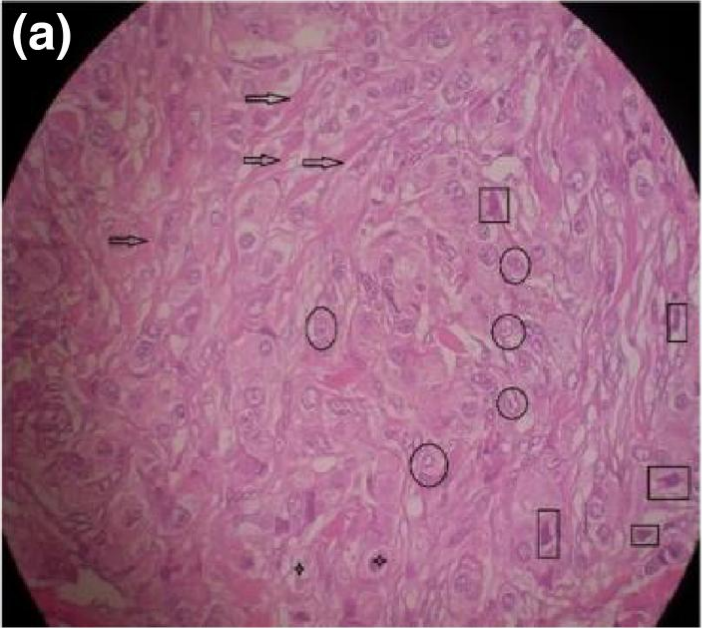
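This section shows a tumour made of large tumour cells set among bands of fibrous stroma, a desmoplastic reaction. The tumour cells are large and polygonal to oval, with round, pale nuclei, many with a visible nucleolus, and abundant pale pink cytoplasm. They lie in loose sheets and nests. Scattered smaller, more densely pink elongated cells lie among the tumour cells.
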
